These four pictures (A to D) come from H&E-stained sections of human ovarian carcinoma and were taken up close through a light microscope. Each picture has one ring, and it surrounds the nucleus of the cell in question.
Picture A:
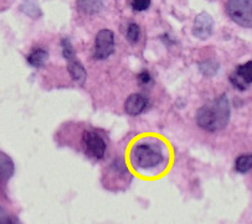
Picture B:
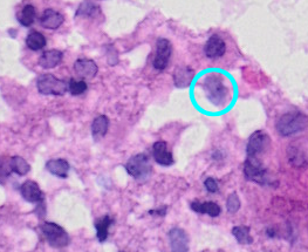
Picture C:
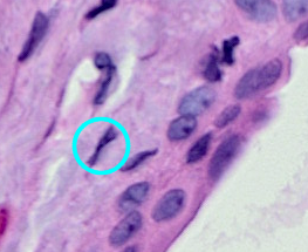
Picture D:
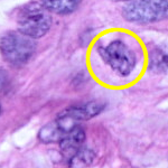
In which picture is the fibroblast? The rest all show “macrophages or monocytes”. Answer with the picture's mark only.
C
